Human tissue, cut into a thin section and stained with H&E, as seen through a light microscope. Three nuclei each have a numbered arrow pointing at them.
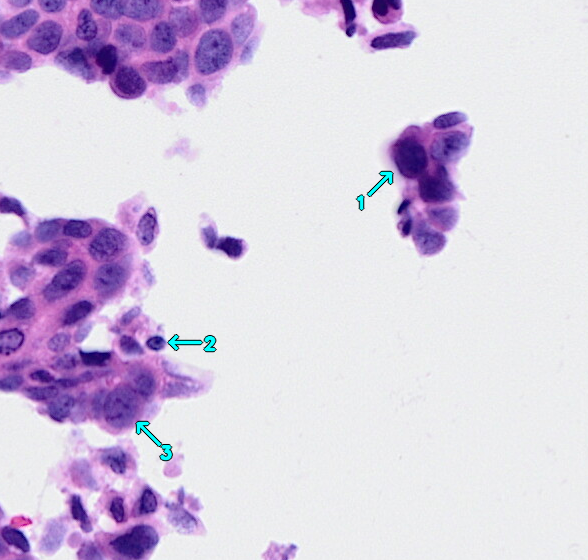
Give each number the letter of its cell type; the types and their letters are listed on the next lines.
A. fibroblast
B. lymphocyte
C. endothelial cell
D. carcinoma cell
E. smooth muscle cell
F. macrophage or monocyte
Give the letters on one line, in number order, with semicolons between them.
D; B; D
